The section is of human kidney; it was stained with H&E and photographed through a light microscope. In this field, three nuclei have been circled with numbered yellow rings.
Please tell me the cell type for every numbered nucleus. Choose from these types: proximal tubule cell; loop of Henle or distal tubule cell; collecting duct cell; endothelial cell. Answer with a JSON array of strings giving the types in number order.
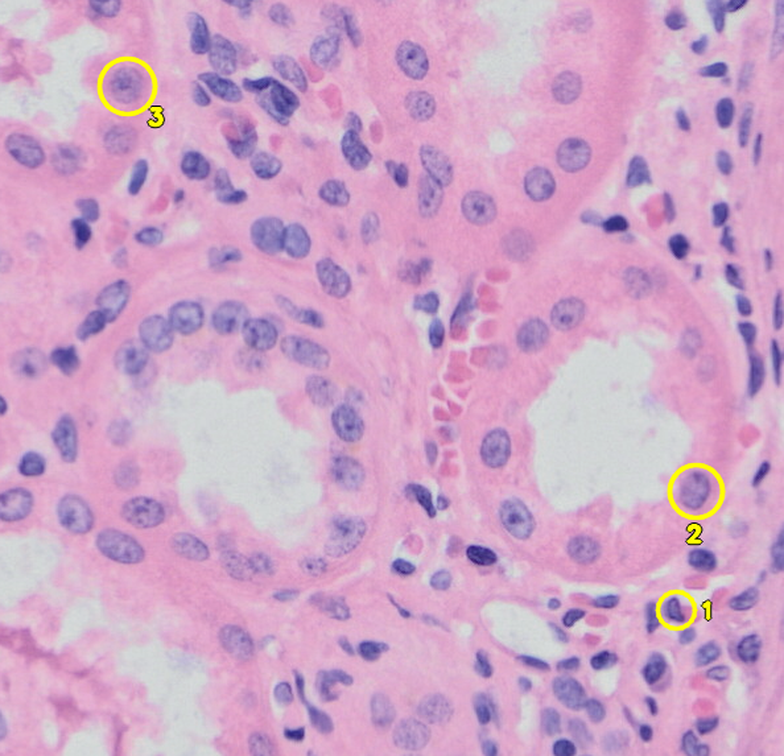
["endothelial cell", "proximal tubule cell", "proximal tubule cell"]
